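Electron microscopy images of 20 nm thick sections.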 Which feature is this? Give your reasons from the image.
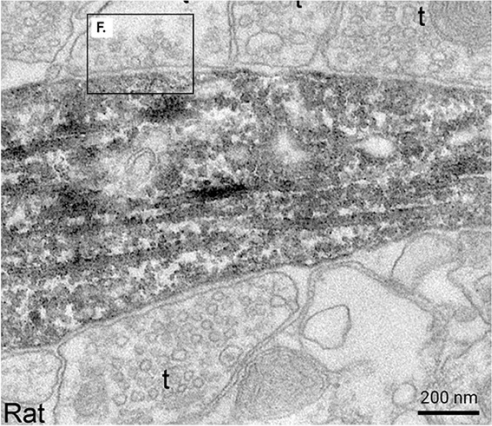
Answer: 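Profiles at the top and bottom contain small round vesicles. A broad, dark, mottled band runs across the middle next to these profiles.
Synapses.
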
